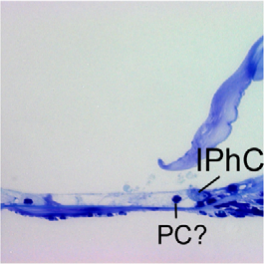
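Cross-section of a cochlear organ of Corti region, blue-stained, in which the sensory epithelium is flat and disorganized. No row of outer hair cells and no tunnel are seen; only a few dark nuclei lie along the thin basal sheet.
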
